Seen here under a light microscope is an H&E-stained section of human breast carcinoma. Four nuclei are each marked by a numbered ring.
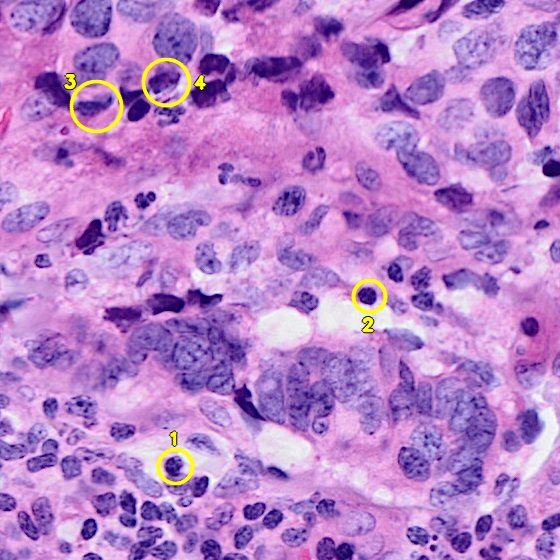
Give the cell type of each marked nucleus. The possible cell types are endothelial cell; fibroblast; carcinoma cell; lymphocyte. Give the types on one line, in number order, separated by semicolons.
lymphocyte; lymphocyte; carcinoma cell; carcinoma cell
